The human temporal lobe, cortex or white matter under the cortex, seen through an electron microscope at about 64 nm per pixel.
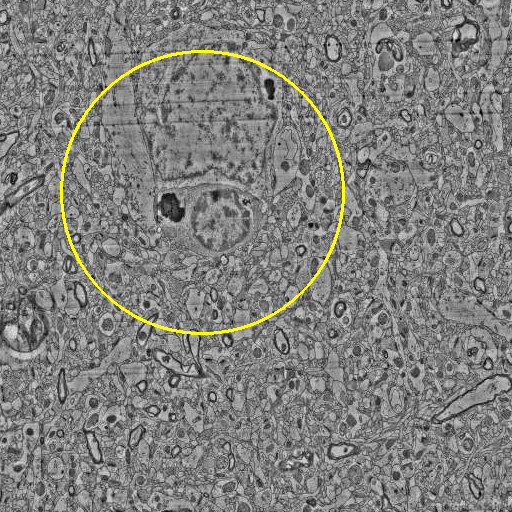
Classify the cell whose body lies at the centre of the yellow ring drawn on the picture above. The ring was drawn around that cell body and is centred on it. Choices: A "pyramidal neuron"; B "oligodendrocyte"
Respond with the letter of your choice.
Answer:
B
